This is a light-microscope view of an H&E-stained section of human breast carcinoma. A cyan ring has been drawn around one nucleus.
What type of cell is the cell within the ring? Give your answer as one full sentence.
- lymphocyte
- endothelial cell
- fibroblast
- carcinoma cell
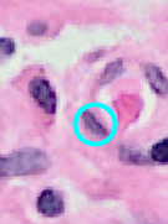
This is an endothelial cell.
